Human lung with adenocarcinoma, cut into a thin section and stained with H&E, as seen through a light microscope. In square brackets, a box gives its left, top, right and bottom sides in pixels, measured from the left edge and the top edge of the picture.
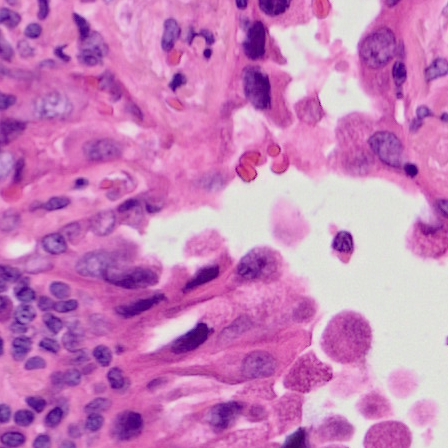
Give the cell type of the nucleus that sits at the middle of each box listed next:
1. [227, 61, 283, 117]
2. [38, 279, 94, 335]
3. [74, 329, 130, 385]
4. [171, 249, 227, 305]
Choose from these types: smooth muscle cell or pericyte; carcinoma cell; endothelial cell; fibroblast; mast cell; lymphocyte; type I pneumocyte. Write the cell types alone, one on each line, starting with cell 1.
carcinoma cell
lymphocyte
lymphocyte
carcinoma cell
